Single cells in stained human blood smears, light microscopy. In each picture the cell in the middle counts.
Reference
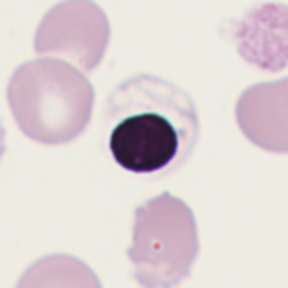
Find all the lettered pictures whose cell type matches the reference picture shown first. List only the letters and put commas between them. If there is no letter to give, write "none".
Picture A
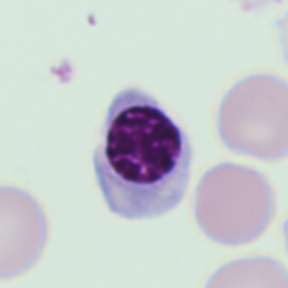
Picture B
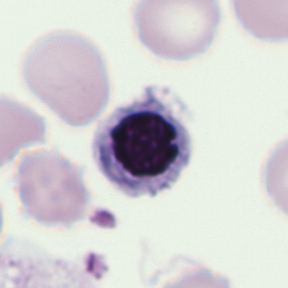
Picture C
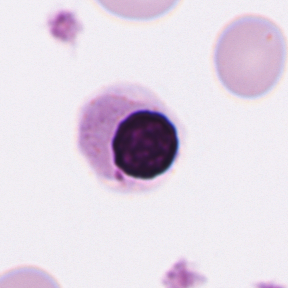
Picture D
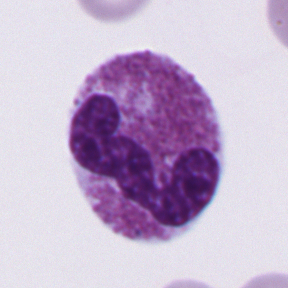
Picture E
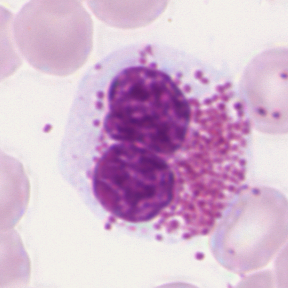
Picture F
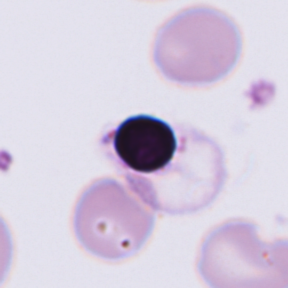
A, B, C, F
